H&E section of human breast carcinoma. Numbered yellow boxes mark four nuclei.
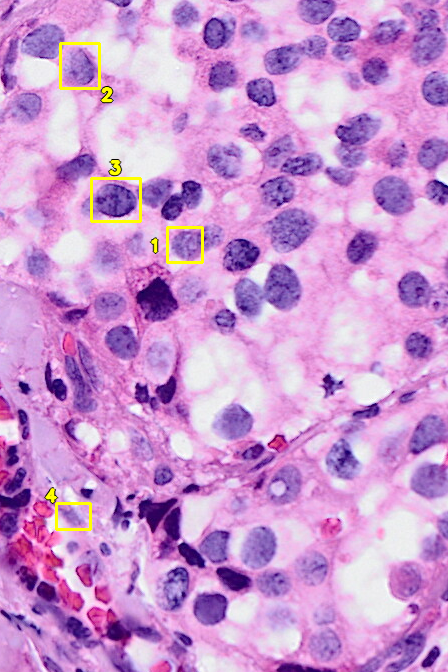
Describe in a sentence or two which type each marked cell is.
Cell 1 is a carcinoma cell, cell 2 is a carcinoma cell, cell 3 is a carcinoma cell and cell 4 is an endothelial cell.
